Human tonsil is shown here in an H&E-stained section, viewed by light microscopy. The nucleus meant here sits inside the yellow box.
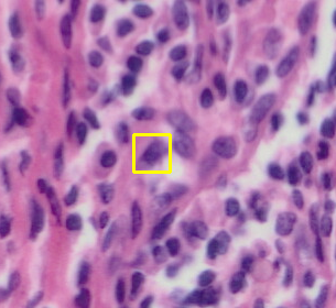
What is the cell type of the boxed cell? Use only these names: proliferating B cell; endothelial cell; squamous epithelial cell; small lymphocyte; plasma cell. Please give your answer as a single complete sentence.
It is as an endothelial cell that the boxed cell is recorded.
